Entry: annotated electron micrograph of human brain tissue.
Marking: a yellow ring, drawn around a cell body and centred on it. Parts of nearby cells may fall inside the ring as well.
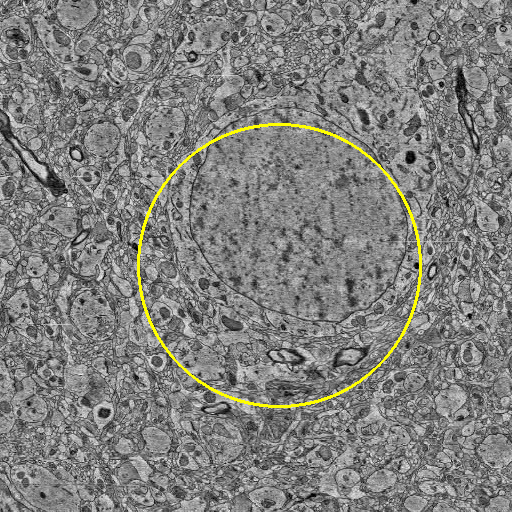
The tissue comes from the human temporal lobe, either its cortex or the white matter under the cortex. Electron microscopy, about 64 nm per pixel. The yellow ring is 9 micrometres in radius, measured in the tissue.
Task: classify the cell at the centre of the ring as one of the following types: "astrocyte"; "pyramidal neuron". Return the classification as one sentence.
The marked cell is classified as a pyramidal neuron.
